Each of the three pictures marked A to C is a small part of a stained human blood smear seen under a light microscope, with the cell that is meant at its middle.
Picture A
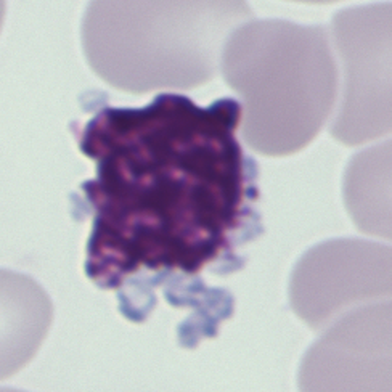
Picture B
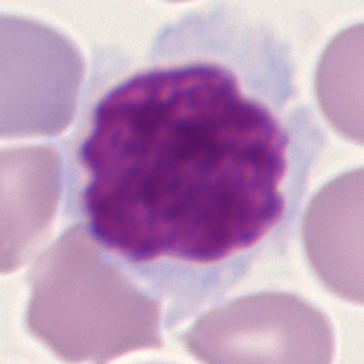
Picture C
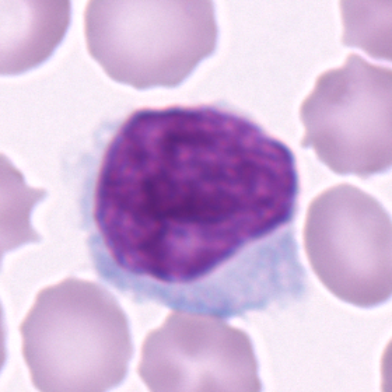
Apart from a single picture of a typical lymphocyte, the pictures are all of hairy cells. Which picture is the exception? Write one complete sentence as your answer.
The picture with the typical lymphocyte is A.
